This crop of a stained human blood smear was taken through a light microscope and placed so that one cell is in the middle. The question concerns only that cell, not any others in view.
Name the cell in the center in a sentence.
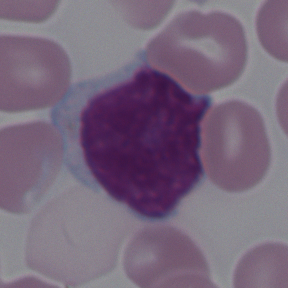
The cell at the central position in this crop is a lymphocyte.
